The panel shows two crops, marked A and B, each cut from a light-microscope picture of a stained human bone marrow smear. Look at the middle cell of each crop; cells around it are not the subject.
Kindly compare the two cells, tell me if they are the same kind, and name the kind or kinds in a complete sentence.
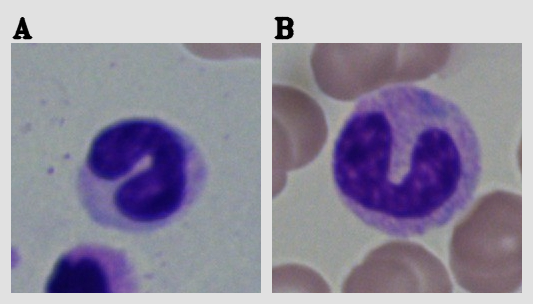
Yes, the centred cells are band neutrophils in both crops.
